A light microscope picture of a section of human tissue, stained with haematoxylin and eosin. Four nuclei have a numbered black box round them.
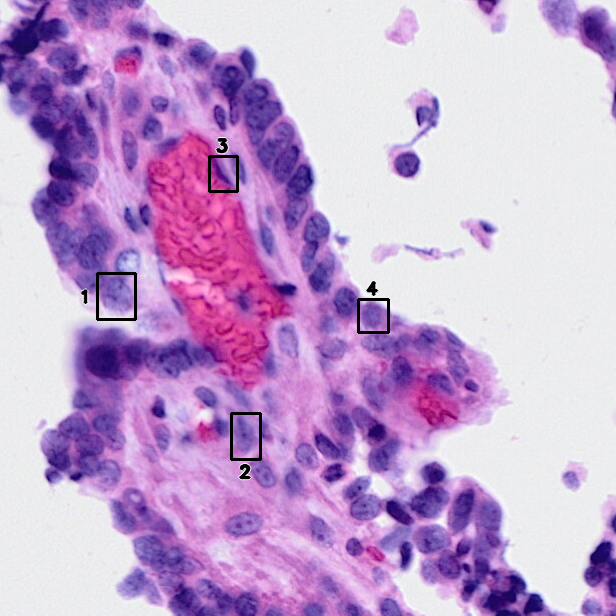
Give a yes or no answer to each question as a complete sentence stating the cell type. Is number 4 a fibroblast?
No, cell 4 is a carcinoma cell; it is not a fibroblast.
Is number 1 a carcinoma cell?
Yes, the marked cell numbered 1 is a carcinoma cell.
